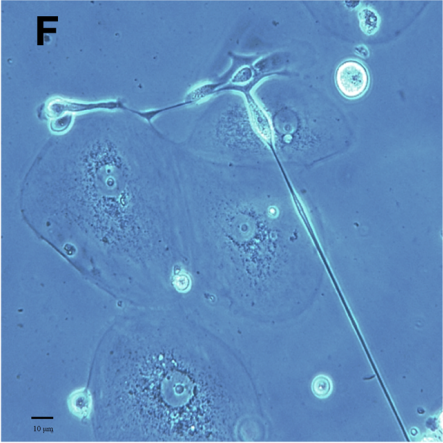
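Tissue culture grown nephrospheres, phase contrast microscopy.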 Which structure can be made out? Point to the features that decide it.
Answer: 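Podocytic extrusions. A very long, thin, straight process runs diagonally across the panel from a small cell body. Thin processes link small cells lying over large flat cells.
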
